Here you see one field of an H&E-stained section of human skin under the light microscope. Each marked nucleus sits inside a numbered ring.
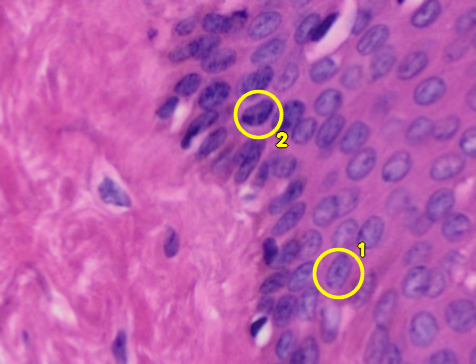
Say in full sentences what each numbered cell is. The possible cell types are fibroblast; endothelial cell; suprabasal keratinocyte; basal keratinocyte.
Cell 1 is a suprabasal keratinocyte and cell 2 is a basal keratinocyte.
